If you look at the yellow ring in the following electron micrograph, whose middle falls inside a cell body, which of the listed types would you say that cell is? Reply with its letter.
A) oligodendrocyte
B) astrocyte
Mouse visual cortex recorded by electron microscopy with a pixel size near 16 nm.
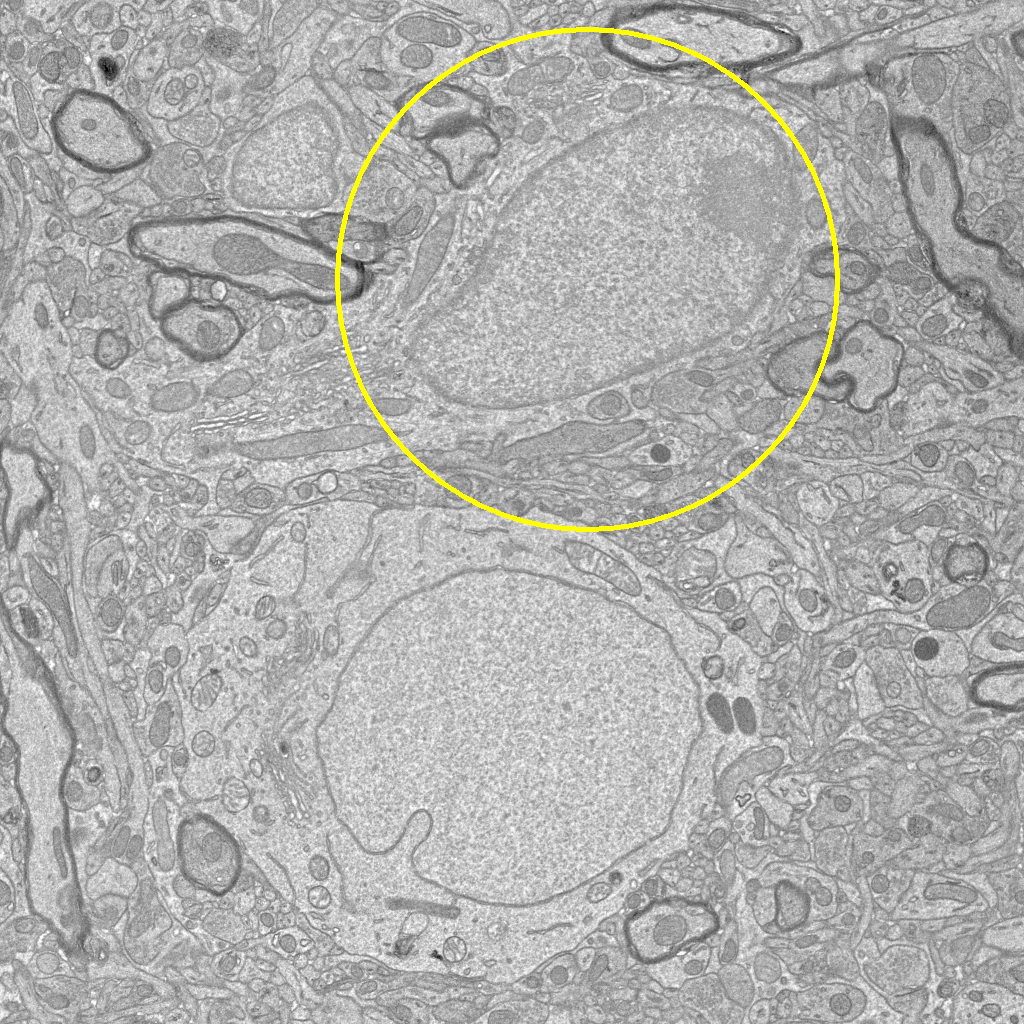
B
